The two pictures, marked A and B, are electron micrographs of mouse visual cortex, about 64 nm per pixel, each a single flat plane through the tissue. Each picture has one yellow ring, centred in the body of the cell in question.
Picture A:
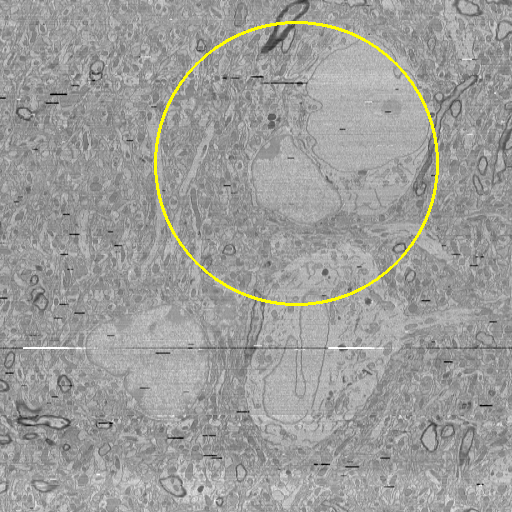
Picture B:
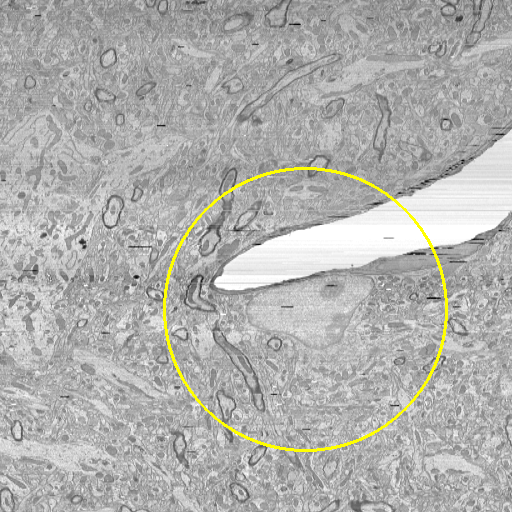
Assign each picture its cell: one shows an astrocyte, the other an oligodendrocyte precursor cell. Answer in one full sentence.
Picture A is of an oligodendrocyte precursor cell, and picture B is of an astrocyte.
